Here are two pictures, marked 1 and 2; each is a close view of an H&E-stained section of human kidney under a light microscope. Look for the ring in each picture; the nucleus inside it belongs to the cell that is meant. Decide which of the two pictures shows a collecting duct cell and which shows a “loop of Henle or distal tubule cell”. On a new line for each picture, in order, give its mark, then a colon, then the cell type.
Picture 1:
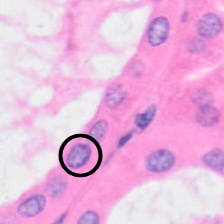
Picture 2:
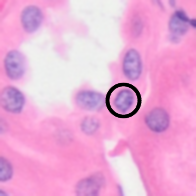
1: loop of Henle or distal tubule cell
2: collecting duct cell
